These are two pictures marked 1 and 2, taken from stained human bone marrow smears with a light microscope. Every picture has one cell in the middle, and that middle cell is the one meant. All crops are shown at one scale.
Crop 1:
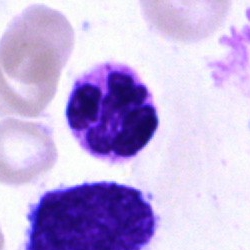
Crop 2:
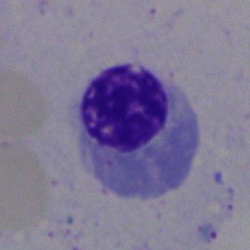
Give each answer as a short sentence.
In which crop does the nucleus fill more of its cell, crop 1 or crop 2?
The nucleus fills more of the cell in crop 1 than in crop 2.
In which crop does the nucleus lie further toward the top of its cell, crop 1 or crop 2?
Seen within its cell, the nucleus in crop 2 lies further toward the top.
